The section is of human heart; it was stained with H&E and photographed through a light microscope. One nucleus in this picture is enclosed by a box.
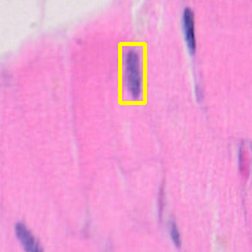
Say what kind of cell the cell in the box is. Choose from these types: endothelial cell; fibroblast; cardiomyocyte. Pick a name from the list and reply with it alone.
endothelial cell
